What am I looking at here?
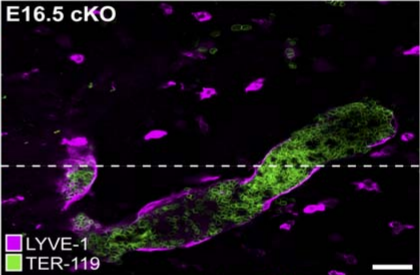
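A short purple-walled side branch at the left also holds green cells. Scattered small purple cells, likely tissue macrophages, lie in the surrounding dark connective tissue. Only a few isolated green cells lie outside the vessel.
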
